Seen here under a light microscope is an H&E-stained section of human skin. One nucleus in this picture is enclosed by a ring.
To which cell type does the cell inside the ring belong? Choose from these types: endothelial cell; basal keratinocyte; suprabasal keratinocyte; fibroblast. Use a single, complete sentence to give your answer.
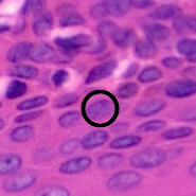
For cell typing purposes, the cell inside the ring is a basal keratinocyte.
